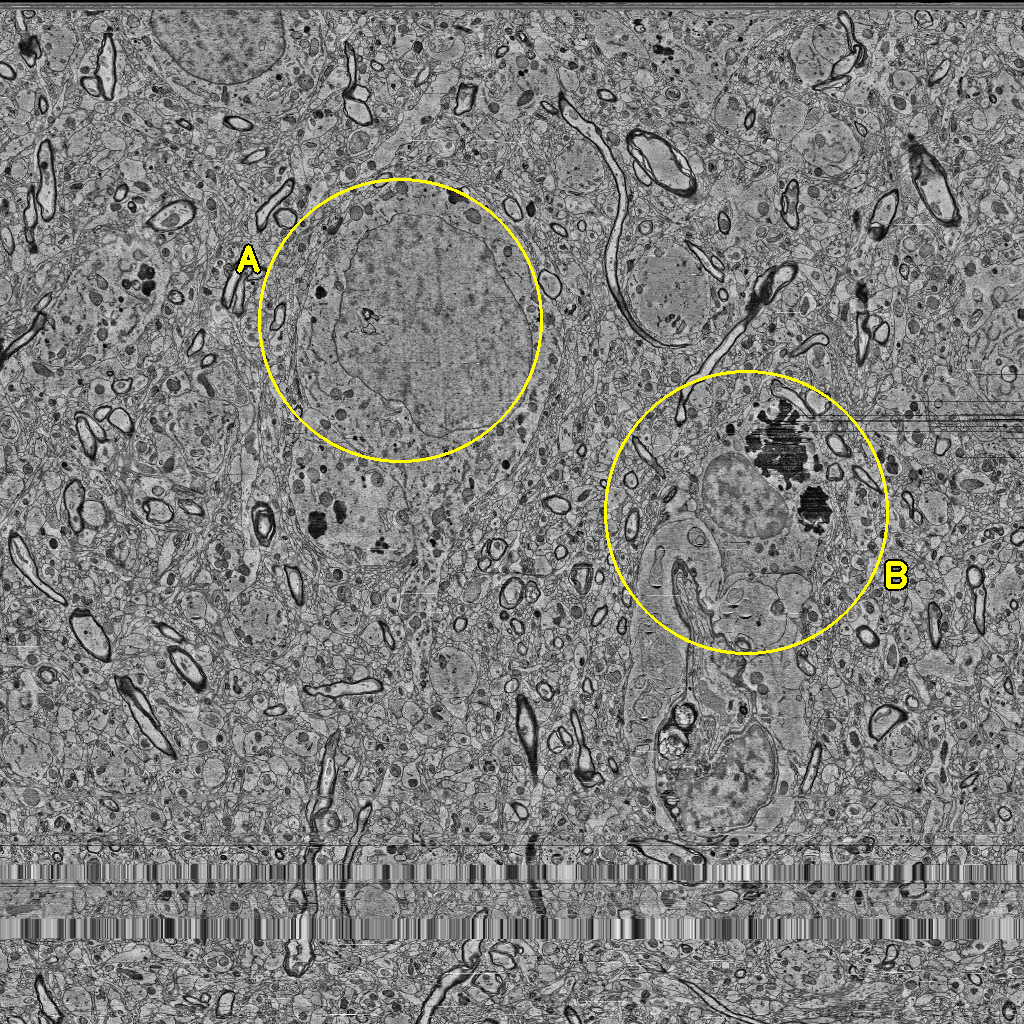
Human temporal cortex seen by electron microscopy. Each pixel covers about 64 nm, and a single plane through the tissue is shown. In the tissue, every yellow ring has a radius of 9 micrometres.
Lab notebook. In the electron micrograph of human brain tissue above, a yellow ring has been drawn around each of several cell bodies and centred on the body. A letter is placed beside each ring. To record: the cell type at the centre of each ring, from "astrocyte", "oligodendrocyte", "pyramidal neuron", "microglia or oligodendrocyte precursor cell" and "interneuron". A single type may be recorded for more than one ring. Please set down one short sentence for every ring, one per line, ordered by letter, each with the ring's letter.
The centre of ring A is occupied by a pyramidal neuron.
The centre of ring B is occupied by an oligodendrocyte.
